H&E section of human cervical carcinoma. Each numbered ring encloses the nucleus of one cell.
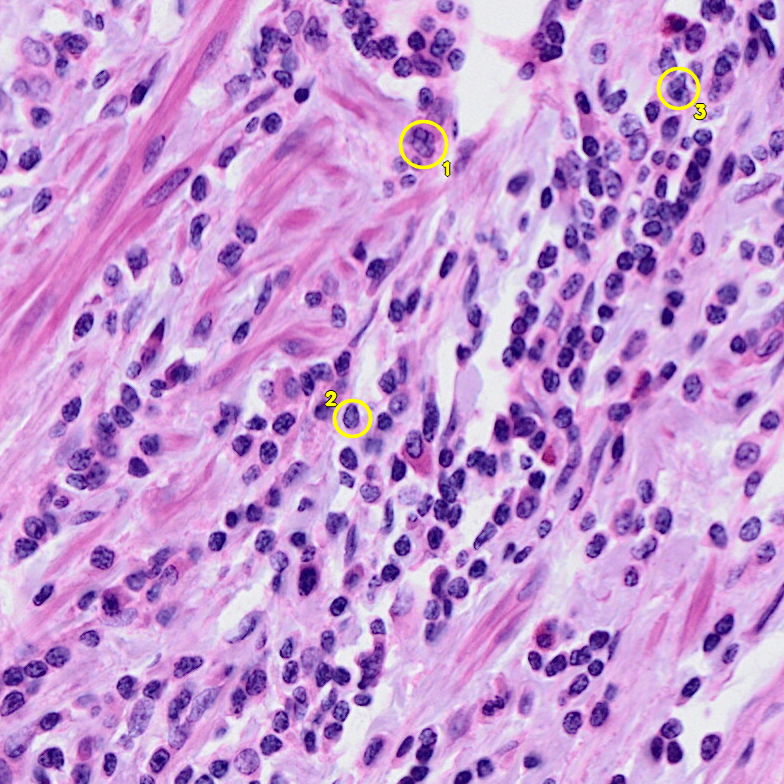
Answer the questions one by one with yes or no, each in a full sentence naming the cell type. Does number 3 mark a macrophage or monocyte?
No, cell 3 is a lymphocyte; it is not a macrophage or monocyte.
